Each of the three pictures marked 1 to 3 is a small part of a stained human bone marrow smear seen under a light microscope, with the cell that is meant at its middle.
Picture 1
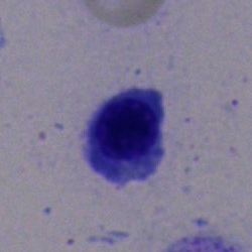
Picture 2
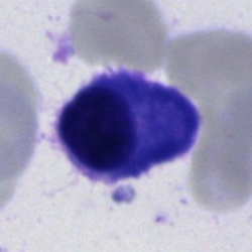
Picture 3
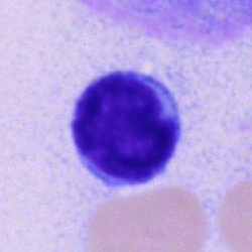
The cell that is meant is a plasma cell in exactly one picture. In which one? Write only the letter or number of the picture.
2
